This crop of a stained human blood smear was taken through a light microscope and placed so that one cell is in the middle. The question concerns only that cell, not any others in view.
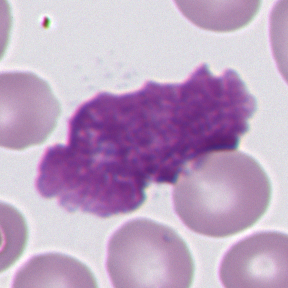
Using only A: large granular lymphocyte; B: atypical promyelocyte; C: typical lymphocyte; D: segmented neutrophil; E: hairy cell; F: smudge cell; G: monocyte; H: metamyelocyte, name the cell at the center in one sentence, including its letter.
The central cell in this crop is a smudge cell, corresponding to option F, the correct option.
